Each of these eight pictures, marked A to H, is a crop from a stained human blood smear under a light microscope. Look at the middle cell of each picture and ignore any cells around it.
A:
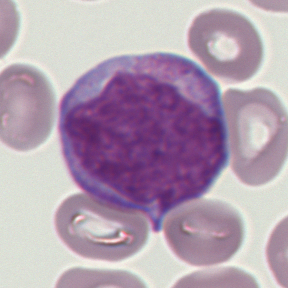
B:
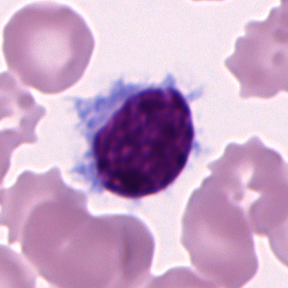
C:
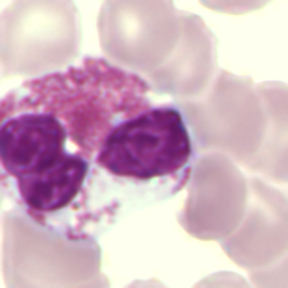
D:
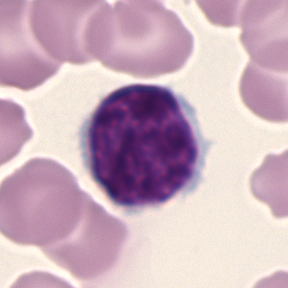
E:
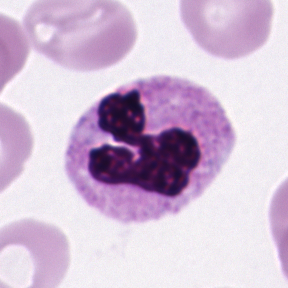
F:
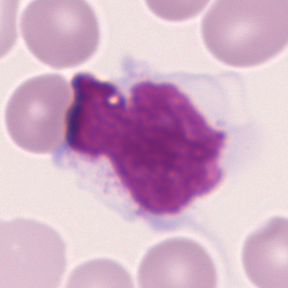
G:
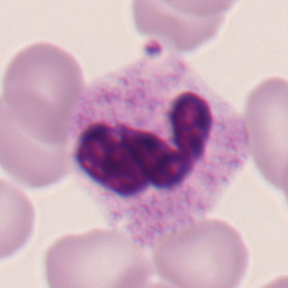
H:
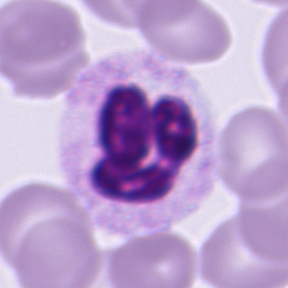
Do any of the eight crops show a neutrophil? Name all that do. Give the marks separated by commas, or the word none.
E, G, H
